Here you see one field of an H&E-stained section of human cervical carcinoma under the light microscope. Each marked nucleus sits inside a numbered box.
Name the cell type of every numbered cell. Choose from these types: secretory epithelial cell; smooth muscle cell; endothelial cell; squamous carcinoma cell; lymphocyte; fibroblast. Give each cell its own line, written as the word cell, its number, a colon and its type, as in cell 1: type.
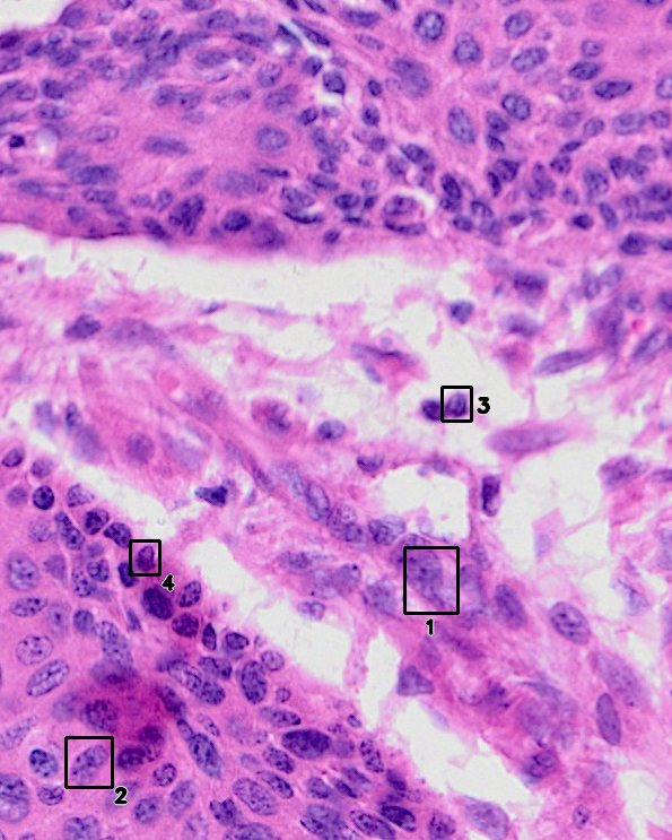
cell 1: fibroblast
cell 2: squamous carcinoma cell
cell 3: lymphocyte
cell 4: squamous carcinoma cell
